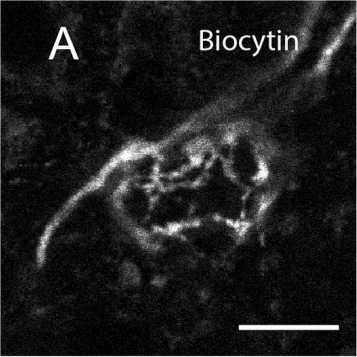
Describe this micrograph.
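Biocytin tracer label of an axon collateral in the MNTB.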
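A thin fibre comes in from the left and spreads into a ring of branching, interconnected strands. The strands enclose a round dark space roughly the size of a cell body, with gaps between them like a cage. The cell body itself is not filled and shows only as the dark centre of the ring.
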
